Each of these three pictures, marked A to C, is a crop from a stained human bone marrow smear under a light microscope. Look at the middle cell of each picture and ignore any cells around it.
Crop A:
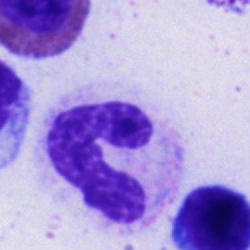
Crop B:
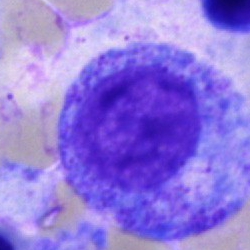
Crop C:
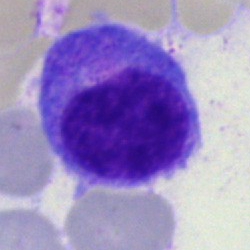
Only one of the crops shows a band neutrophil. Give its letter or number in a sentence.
The requested cell, a band neutrophil, is the one in crop A.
